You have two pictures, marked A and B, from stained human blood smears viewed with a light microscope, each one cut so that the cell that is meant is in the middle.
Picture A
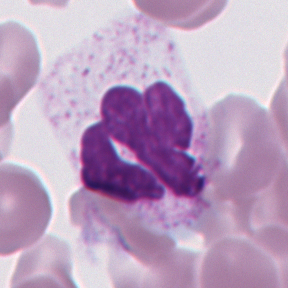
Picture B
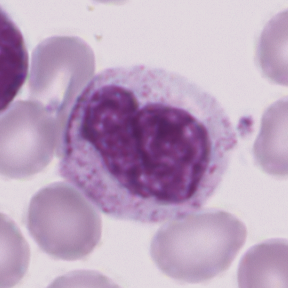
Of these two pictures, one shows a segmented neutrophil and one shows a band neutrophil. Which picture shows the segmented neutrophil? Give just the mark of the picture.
A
